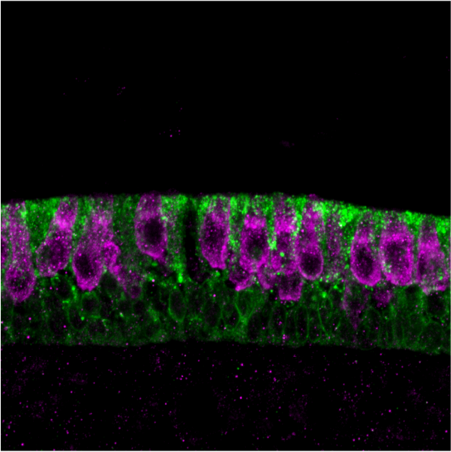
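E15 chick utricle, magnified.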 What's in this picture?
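A vertical slice through the sensory epithelium shows hair cells stained magenta and supporting cells stained green. The hair cells are flask-shaped or rounded bodies arranged in a loose row in the upper half of the epithelium, with dark unstained nuclear regions within the magenta cytoplasm. Green-stained supporting cells lie between them and surround them, reaching from the luminal surface down to the base of the epithelium, where a continuous green band forms the basal layer. Below the epithelium the stroma is dark with only faint magenta specks.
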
